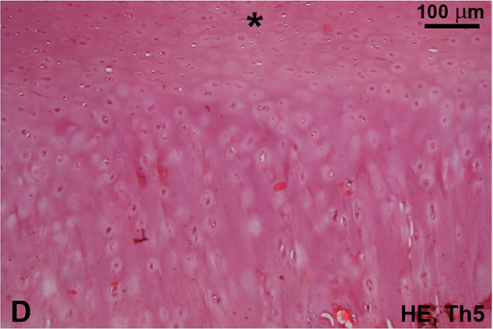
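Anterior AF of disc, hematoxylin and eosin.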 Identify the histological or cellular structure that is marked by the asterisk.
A: endplate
